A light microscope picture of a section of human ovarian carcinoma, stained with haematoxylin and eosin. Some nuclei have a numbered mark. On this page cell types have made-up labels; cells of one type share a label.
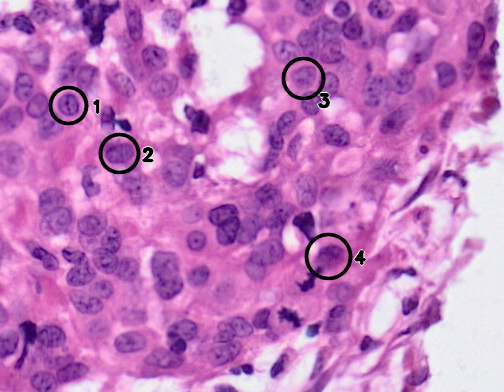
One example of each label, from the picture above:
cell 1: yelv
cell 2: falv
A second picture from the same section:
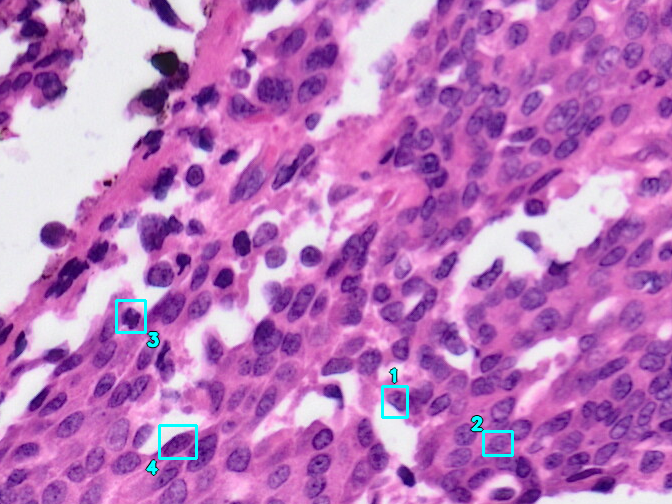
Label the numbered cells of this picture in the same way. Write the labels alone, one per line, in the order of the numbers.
yelv
falv
falv
falv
